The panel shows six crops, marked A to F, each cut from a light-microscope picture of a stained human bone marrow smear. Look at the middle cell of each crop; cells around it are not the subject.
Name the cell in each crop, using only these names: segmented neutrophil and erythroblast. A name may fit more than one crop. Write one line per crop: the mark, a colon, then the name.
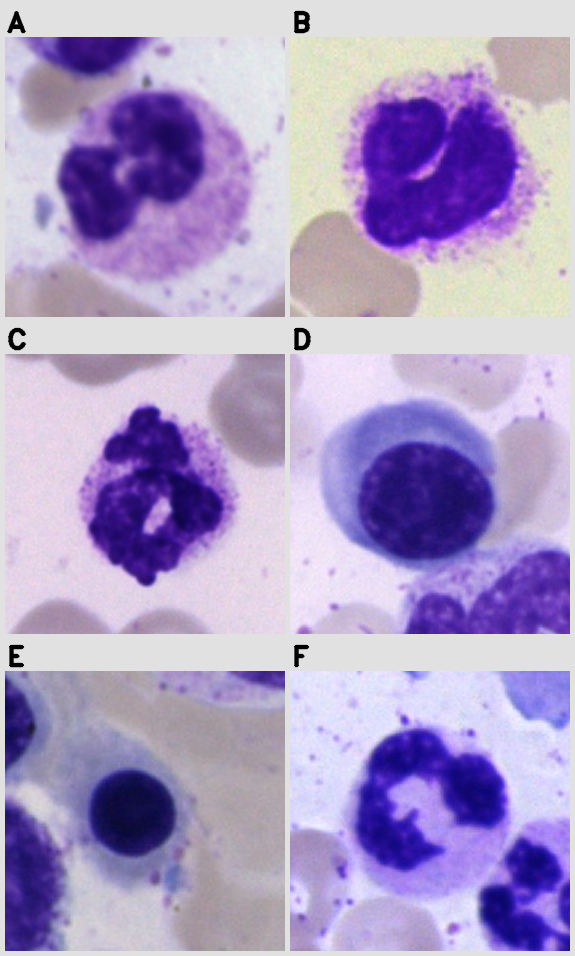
A: segmented neutrophil
B: segmented neutrophil
C: segmented neutrophil
D: erythroblast
E: erythroblast
F: segmented neutrophil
